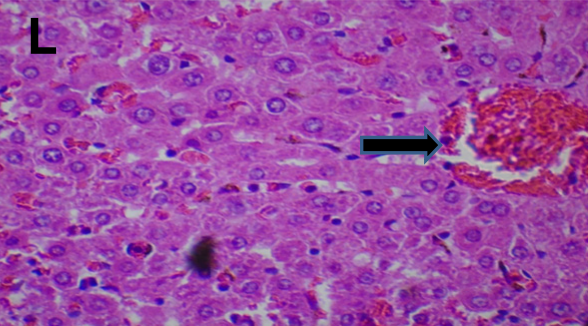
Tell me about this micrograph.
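This is liver tissue with cords of polygonal hepatocytes that have pink cytoplasm and round, centrally placed nuclei with visible nucleoli. At the right a vessel is distended and packed with red-staining red blood cells. Red blood cells also fill many of the sinusoids between the hepatocyte cords, and small dark flattened nuclei lining the sinusoids are scattered through the field.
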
